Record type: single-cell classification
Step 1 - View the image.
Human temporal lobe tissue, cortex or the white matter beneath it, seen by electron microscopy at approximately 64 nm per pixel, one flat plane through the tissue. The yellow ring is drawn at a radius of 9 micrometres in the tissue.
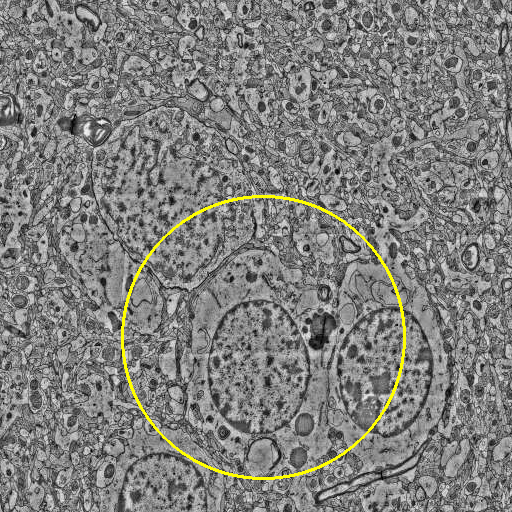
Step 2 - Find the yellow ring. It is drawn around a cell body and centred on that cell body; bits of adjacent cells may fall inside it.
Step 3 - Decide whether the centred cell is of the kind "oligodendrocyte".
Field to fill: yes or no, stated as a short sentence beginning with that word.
No, the centred cell belongs to another kind.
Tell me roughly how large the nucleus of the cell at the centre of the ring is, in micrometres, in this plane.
The nucleus comes to roughly 9 by 7 micrometres in this plane.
